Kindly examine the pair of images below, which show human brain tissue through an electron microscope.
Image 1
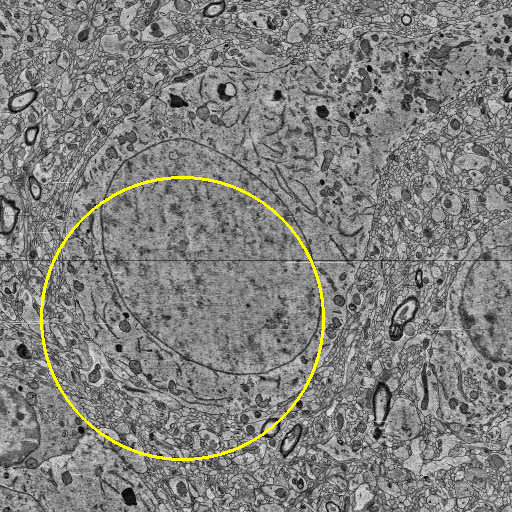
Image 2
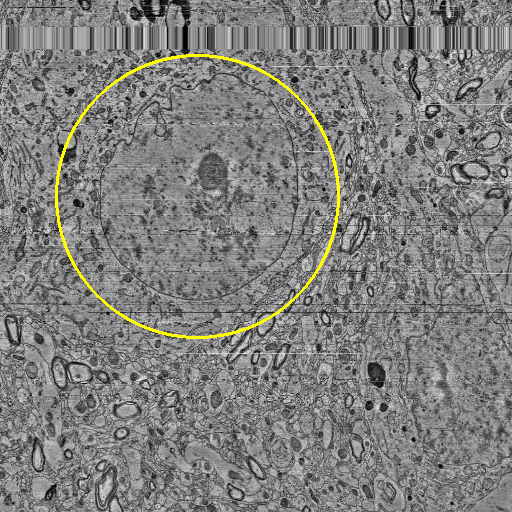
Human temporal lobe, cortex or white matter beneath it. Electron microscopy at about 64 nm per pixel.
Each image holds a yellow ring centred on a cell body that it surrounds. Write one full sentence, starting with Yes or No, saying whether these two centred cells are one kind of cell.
Yes, both cells at the centres of the yellow rings belong to one kind of cell.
